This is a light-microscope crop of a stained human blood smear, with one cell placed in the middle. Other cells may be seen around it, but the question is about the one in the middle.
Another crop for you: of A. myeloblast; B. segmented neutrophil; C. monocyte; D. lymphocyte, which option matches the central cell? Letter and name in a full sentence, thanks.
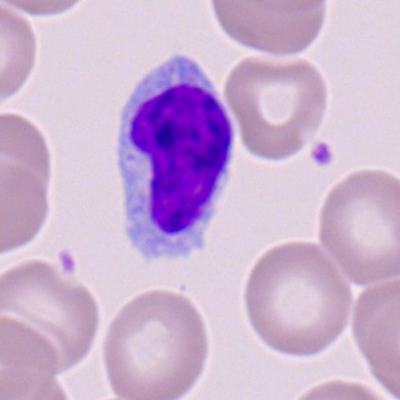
Option D gets it right: the cell in the middle is a lymphocyte.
